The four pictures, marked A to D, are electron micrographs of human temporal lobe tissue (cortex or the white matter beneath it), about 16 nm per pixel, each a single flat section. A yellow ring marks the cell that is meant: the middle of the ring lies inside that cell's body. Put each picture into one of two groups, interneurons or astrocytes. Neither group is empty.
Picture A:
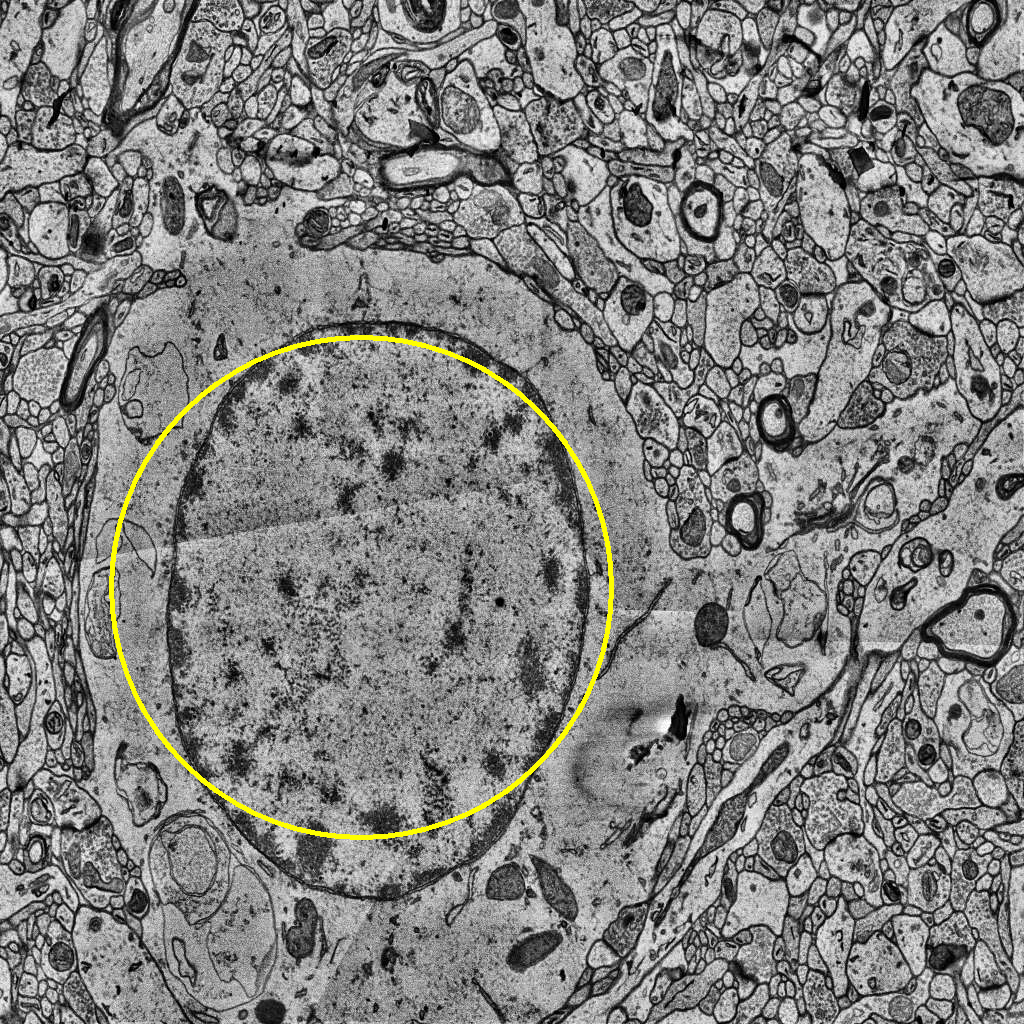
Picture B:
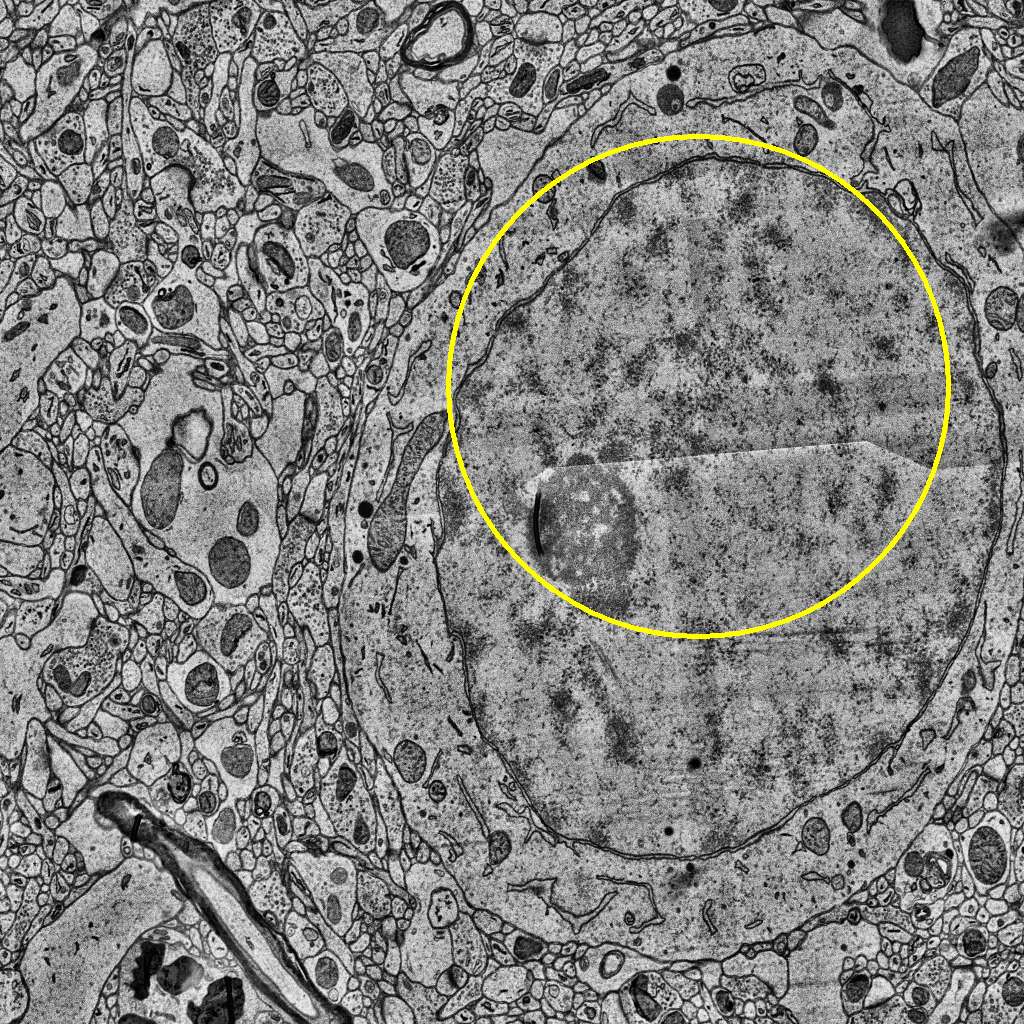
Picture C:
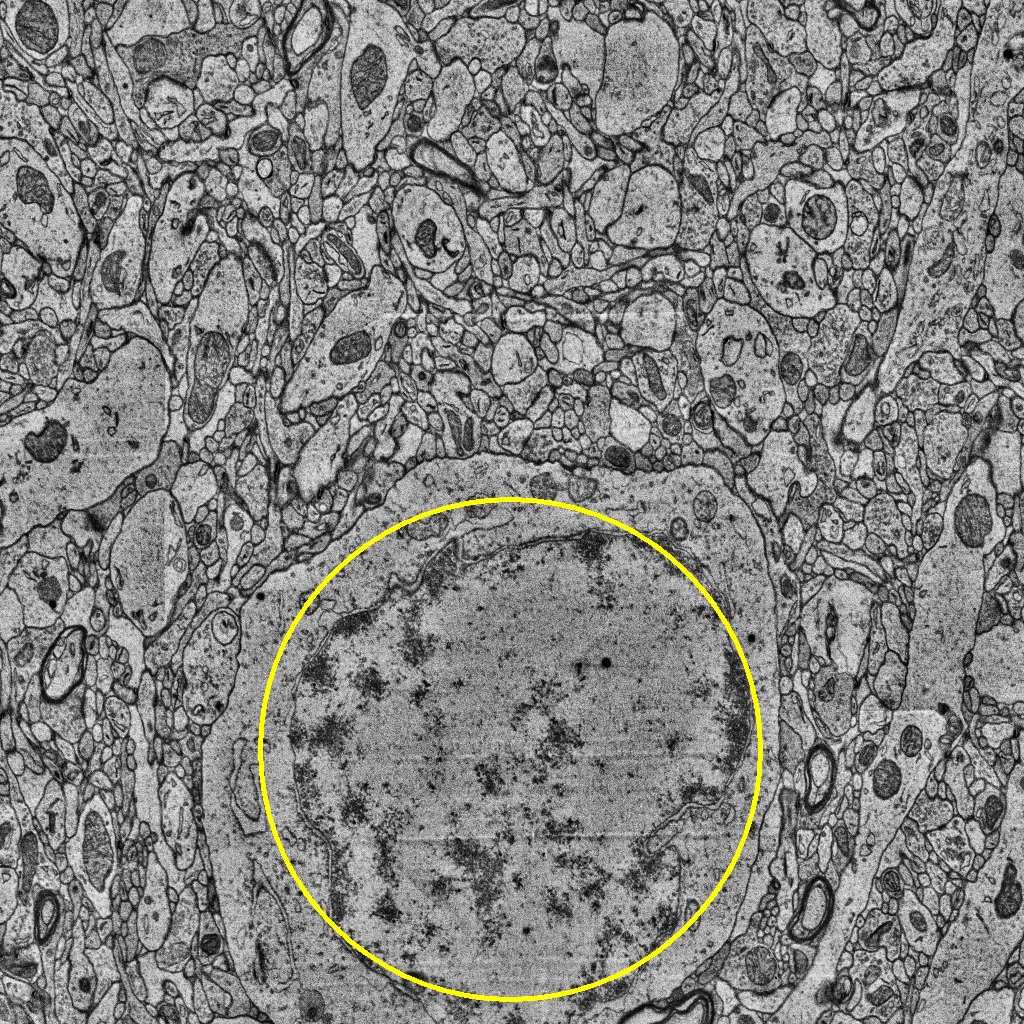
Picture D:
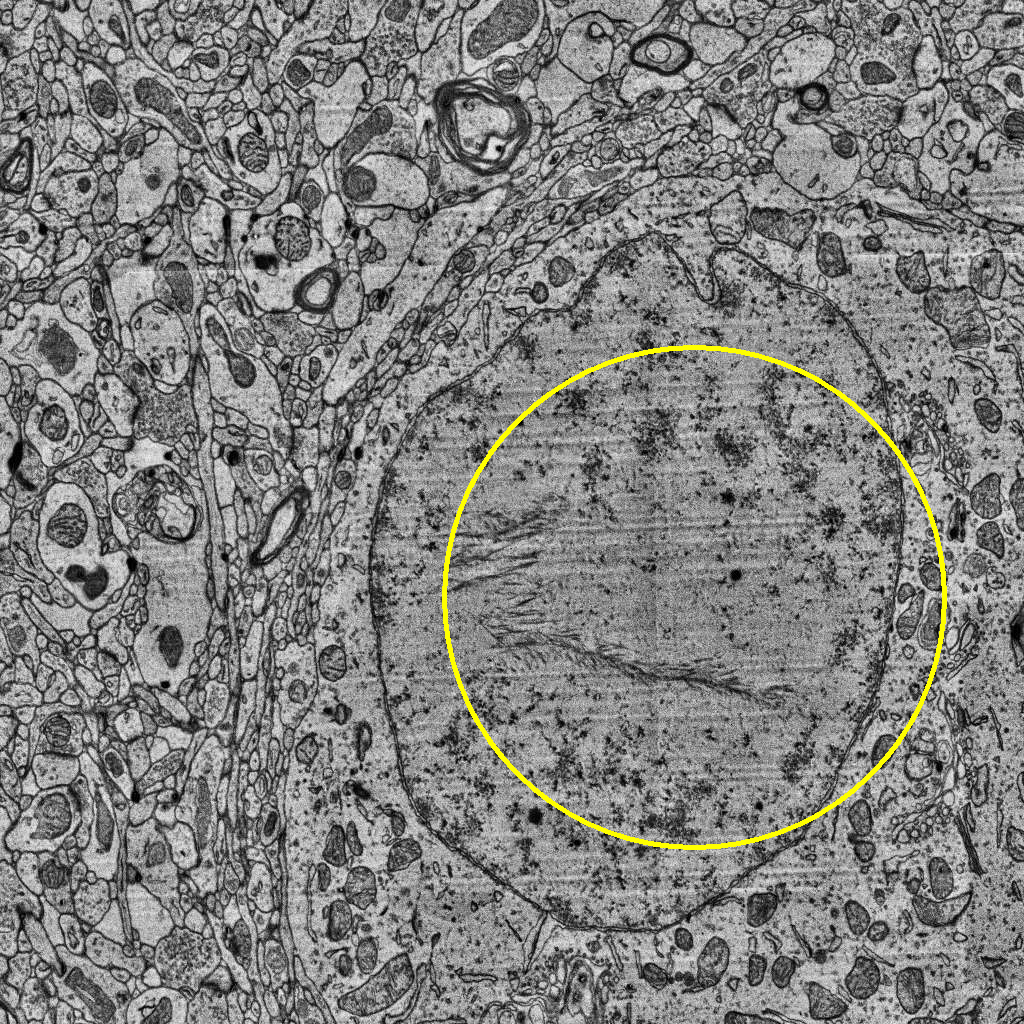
Pictures B, C and D show interneurons, and picture A shows an astrocyte.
